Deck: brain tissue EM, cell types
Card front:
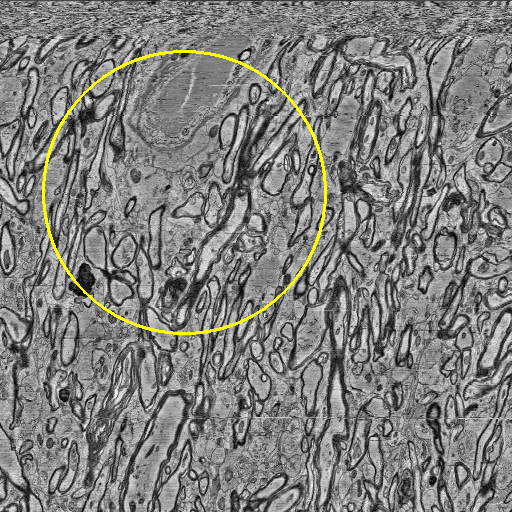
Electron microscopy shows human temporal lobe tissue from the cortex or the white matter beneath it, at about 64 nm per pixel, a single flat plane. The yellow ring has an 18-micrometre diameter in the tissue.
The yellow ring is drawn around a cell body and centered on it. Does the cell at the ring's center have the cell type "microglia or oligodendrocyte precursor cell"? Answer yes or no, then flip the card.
yes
